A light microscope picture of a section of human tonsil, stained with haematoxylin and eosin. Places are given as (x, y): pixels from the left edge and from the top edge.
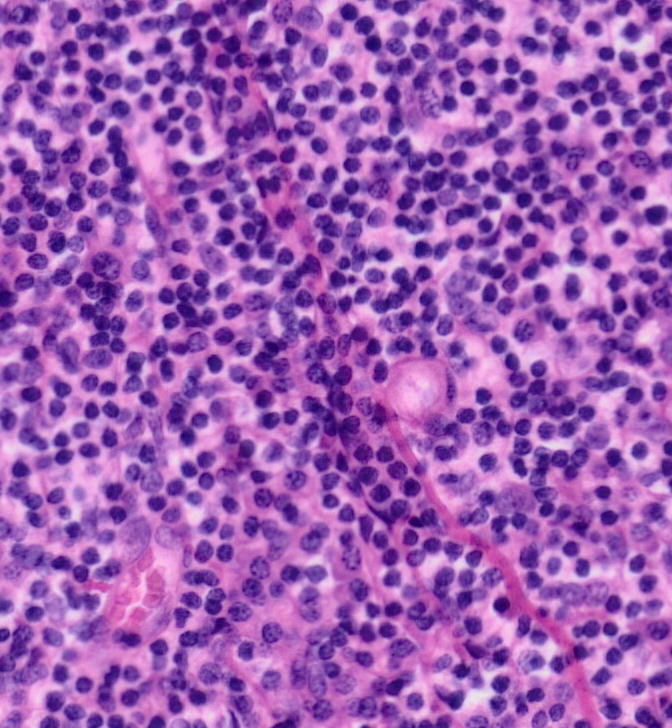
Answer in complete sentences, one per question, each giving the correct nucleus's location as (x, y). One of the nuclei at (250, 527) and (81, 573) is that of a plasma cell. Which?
That would be the nucleus at (250, 527); it belongs to a plasma cell.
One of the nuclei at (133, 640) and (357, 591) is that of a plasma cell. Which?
The nucleus at (357, 591) is the member of the pair belonging to a plasma cell.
